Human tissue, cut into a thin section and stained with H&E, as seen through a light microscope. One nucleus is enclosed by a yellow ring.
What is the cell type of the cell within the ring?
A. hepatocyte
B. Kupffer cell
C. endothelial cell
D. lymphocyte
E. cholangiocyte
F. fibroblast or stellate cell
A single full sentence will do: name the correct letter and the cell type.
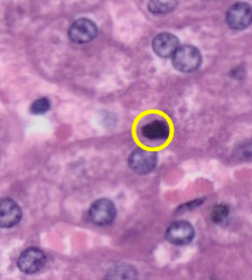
Option F wins here: the cell within the ring is a fibroblast or stellate cell.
